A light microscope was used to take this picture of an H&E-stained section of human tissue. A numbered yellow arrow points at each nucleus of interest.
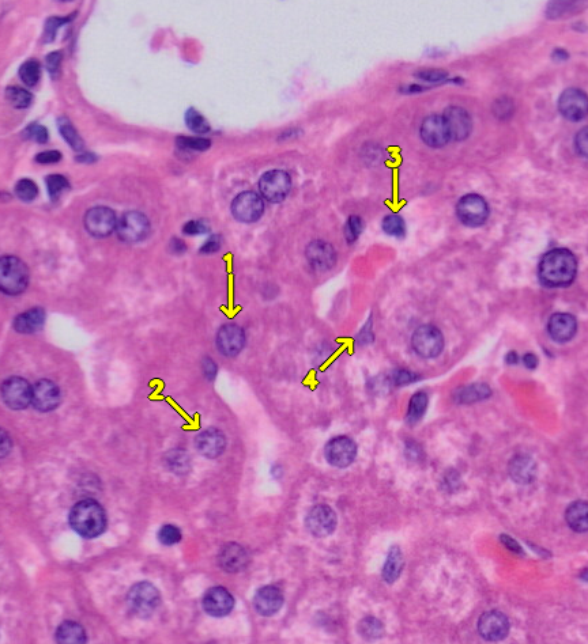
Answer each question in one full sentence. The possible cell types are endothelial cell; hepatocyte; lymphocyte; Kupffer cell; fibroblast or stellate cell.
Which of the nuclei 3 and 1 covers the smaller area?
With nucleus 1 about 1.5 times its size, nucleus 3 is the smaller of the two.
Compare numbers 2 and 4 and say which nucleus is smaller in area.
Nucleus 4 is the smaller one; nucleus 2 covers about 2 times its area.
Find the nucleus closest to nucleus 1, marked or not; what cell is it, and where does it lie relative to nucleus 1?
The nearest nucleus is that of a fibroblast or stellate cell and lies below and to the left of nucleus 1.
